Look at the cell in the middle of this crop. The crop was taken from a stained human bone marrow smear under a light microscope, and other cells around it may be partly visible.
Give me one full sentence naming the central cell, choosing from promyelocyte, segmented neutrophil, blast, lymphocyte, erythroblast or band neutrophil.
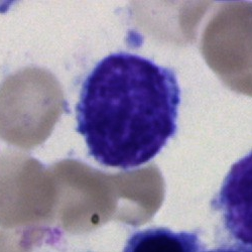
The cell in the middle of this crop is a lymphocyte.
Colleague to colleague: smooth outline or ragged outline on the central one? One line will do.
The cell shows an uneven border, formed by ragged areas or by outward projections.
